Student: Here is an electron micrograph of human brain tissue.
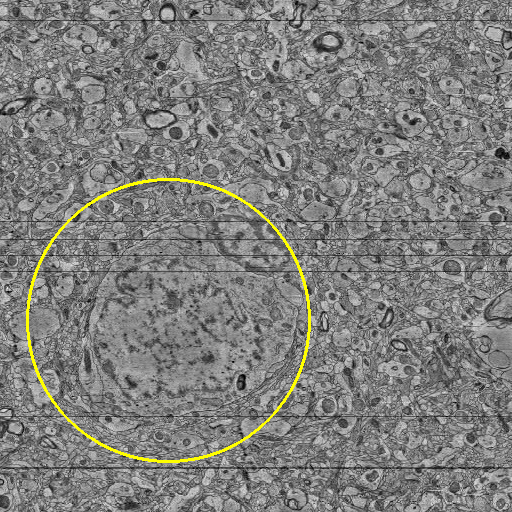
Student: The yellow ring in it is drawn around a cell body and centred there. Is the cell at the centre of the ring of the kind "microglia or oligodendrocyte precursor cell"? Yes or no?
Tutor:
no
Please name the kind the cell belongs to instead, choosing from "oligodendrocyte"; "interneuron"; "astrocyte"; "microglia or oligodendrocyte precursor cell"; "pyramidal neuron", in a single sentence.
Instead, the cell at the centre of the yellow ring is an interneuron.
